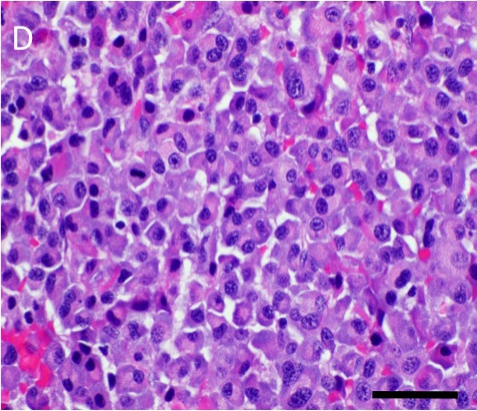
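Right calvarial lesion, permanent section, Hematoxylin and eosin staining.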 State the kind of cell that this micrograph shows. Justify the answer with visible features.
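Sheets of closely packed round to oval cells with abundant pink-purple cytoplasm. Many nuclei sit off-center, toward one side of the cell. Nuclei vary in size and some show prominent nucleoli. On this evidence: atypical plasma cells.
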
